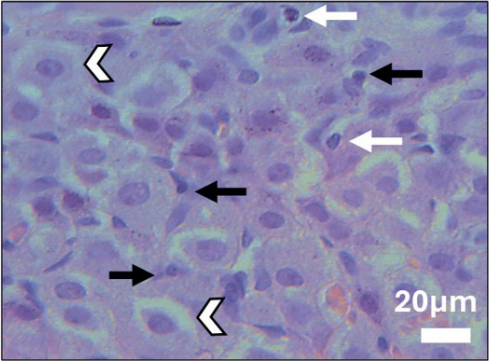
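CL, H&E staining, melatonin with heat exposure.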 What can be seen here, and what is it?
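Large polygonal luteal cells with pale purple cytoplasm and round central nuclei make up the field. Some clear spaces lie between cells, and a few small cells with dark condensed nuclei and small dark bodies are scattered among them.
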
